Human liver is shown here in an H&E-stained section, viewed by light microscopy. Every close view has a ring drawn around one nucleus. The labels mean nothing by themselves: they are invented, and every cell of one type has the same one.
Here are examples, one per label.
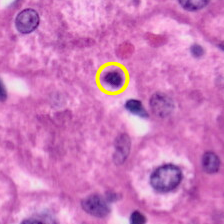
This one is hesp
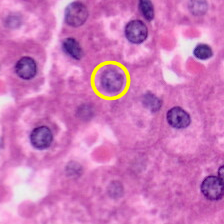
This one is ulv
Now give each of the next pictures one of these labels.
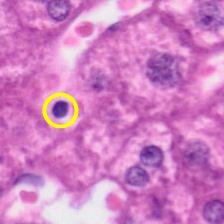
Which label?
hesp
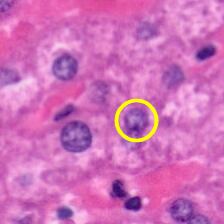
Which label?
ulv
